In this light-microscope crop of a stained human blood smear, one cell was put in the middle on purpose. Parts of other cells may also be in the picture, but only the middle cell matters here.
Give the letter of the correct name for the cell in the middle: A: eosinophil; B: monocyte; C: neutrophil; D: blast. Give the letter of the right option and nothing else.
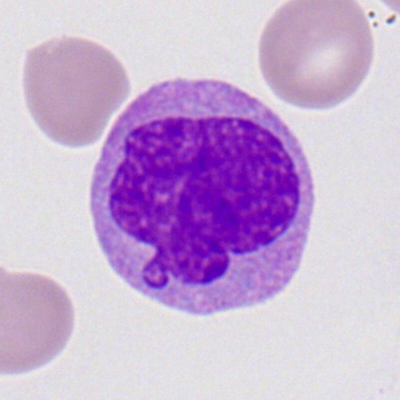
B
